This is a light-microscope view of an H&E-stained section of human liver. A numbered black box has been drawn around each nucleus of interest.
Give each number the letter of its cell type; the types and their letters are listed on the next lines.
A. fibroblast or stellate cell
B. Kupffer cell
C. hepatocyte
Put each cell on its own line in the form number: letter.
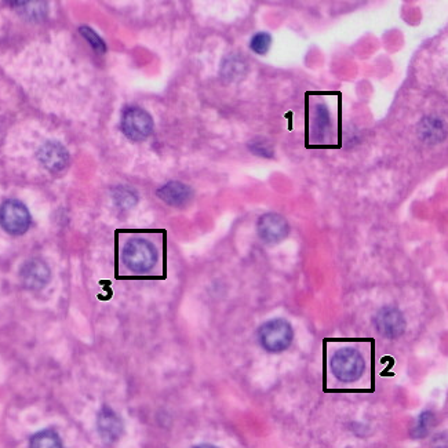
1: A
2: C
3: C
